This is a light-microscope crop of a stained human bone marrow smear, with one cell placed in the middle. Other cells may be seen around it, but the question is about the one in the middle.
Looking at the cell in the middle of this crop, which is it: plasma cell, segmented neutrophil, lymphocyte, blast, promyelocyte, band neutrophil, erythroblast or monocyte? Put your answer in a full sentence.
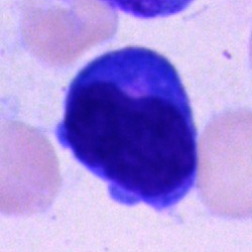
The single cell at the center of the crop is a blast.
